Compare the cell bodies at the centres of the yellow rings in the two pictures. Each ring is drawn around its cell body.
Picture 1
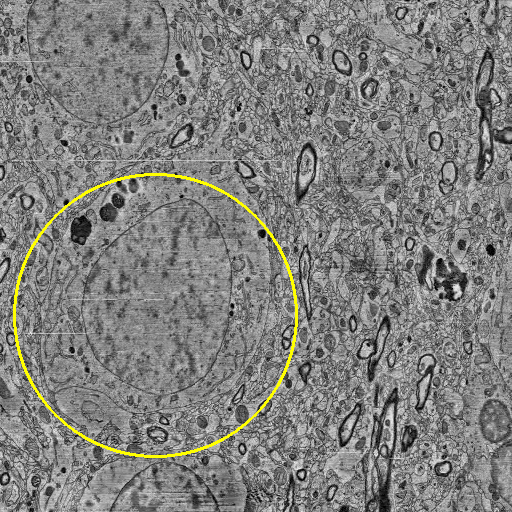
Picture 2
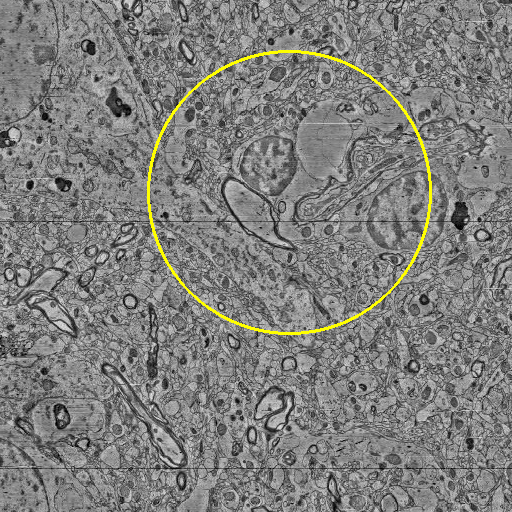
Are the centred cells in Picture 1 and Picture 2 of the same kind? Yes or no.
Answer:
no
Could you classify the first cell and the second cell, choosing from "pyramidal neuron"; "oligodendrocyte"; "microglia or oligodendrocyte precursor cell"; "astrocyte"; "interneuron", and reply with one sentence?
The second cell is a microglial cell or oligodendrocyte precursor cell, while the first is a pyramidal neuron.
